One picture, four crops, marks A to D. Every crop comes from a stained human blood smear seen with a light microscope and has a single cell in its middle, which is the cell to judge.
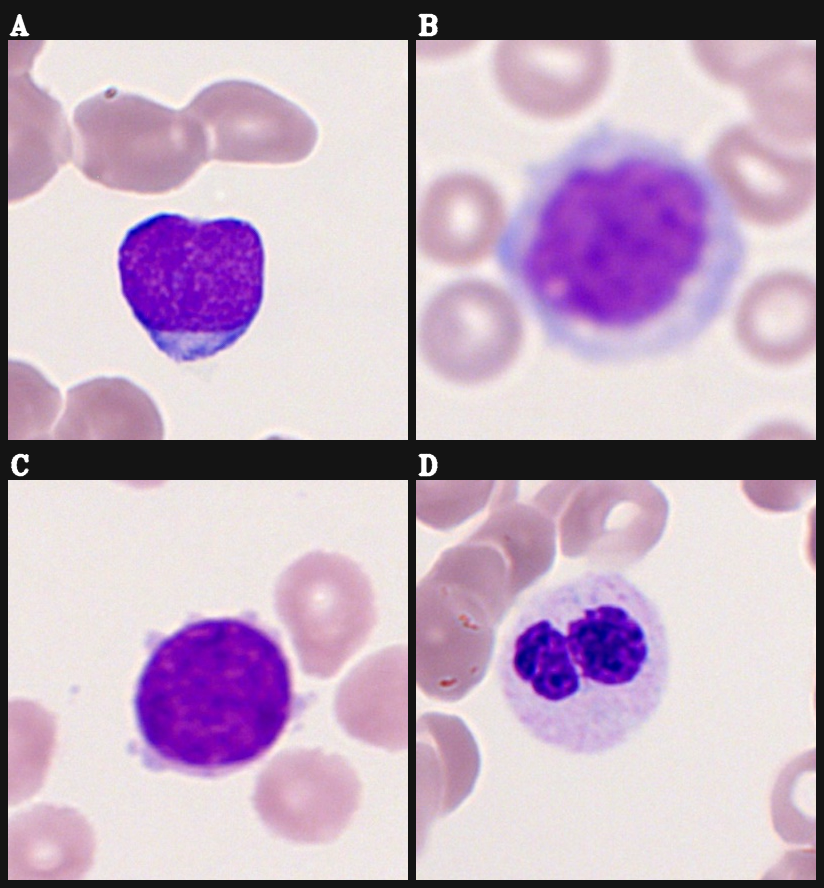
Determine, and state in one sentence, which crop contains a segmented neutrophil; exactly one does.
In the set of crops, crop D is the one that contains a segmented neutrophil.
